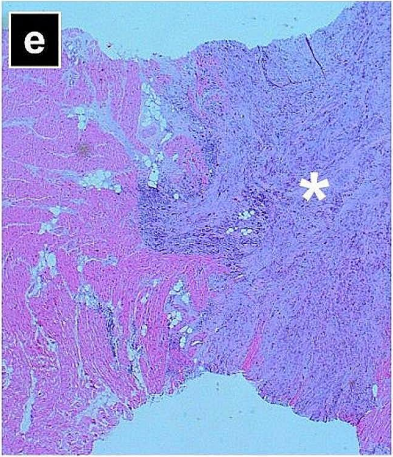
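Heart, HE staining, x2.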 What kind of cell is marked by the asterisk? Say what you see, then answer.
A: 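The asterisk lies in a densely cellular, purple-blue area. This area contrasts with the pink fibrous muscle tissue on the left. On this evidence: tumour cells.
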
